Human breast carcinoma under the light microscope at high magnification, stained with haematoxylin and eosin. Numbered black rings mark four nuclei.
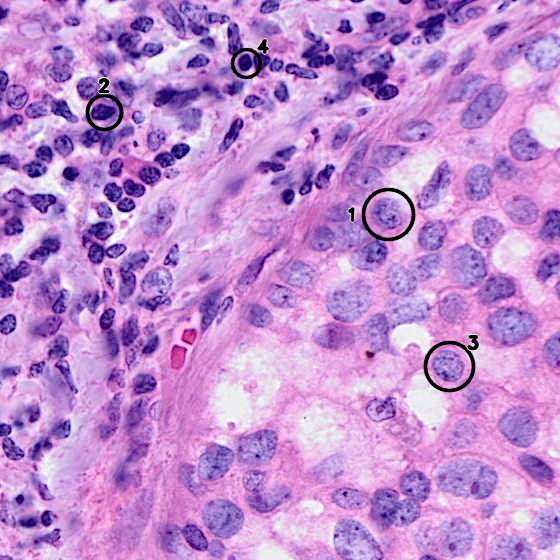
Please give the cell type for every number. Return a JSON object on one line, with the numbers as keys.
{"1": "carcinoma cell", "2": "lymphocyte", "3": "carcinoma cell", "4": "lymphocyte"}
